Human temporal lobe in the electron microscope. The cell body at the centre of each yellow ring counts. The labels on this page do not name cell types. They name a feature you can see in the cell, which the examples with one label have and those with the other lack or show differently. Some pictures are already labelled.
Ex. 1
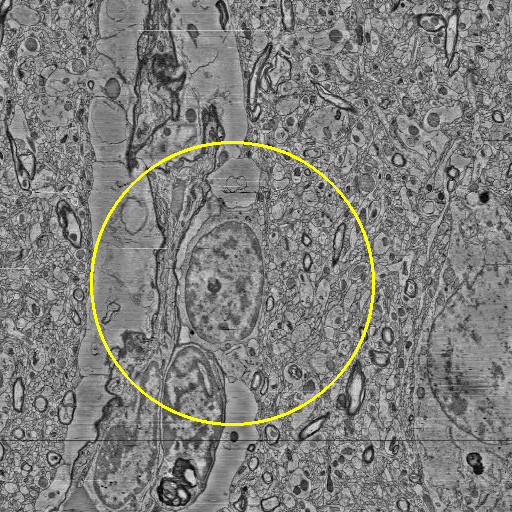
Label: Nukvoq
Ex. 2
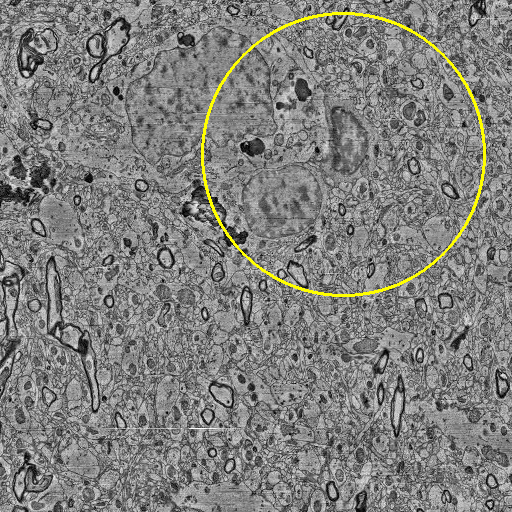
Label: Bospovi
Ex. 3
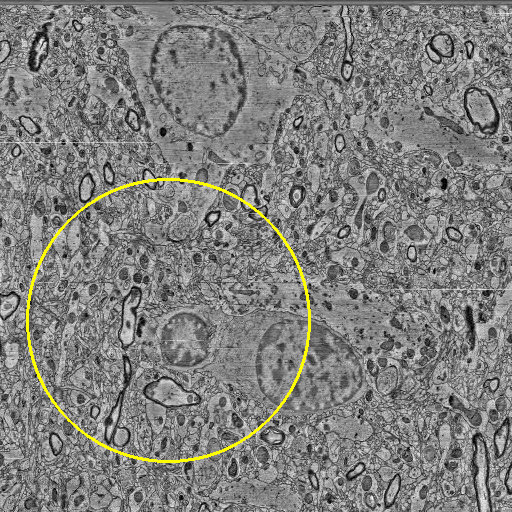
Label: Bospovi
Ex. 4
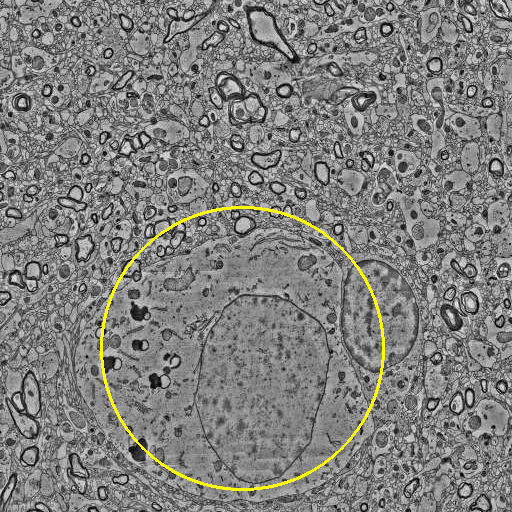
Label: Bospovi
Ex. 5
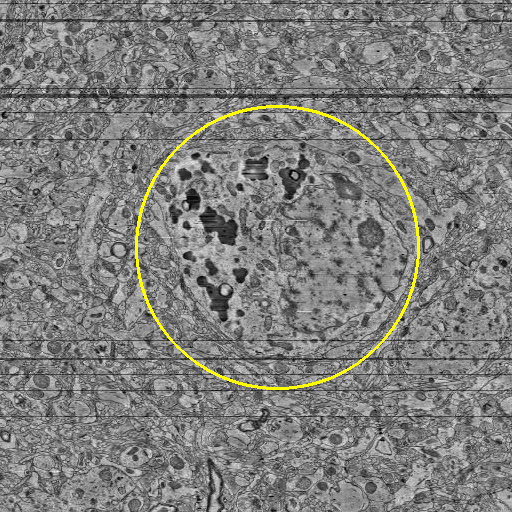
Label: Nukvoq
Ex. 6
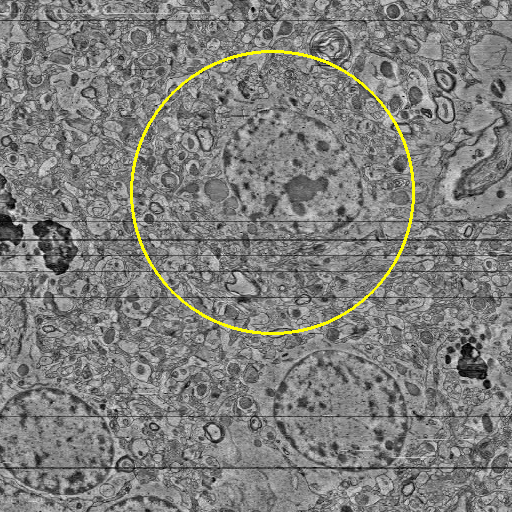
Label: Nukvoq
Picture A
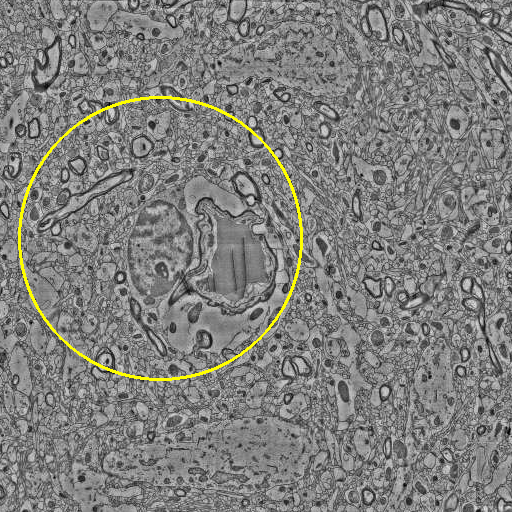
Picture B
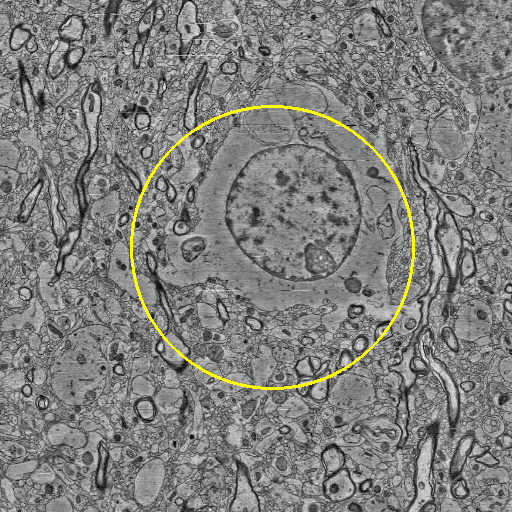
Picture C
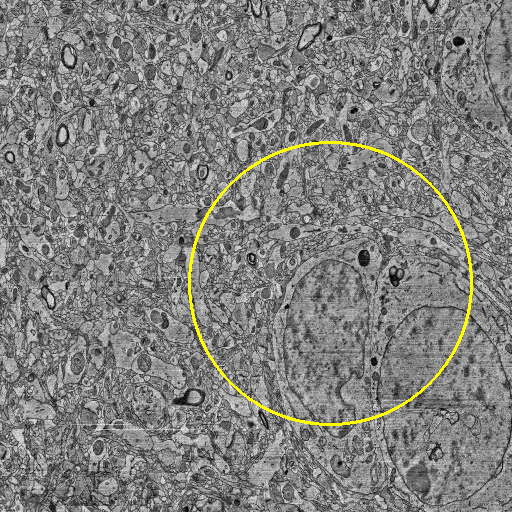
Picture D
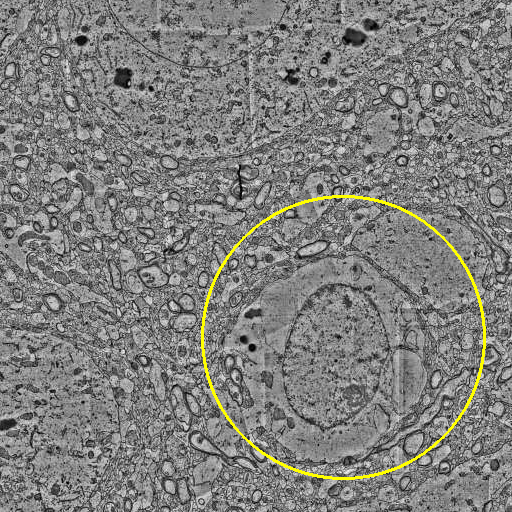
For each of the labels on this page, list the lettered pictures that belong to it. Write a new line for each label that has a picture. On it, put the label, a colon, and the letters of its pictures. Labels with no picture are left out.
Nukvoq: A, B, D
Bospovi: C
